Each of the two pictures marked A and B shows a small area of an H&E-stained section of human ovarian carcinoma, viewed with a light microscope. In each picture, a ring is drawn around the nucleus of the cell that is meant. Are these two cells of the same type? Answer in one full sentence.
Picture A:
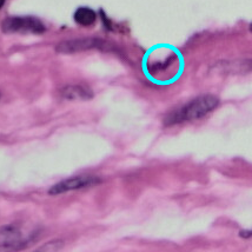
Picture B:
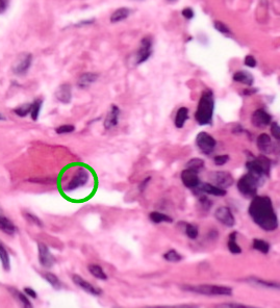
Yes, the two pictures both show fibroblasts.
